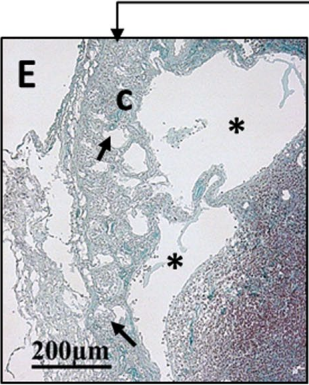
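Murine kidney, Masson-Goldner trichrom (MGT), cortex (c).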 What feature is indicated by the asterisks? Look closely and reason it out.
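Large empty, unstained spaces lie where the asterisks are. The spaces are bounded by thin, loose strands of tissue.
Spacious cystic areas.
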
